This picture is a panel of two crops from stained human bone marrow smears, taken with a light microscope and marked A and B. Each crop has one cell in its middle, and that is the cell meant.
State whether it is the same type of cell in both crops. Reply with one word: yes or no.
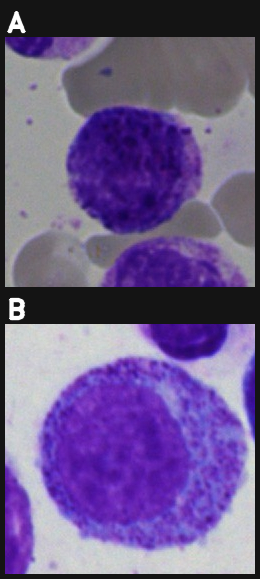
no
